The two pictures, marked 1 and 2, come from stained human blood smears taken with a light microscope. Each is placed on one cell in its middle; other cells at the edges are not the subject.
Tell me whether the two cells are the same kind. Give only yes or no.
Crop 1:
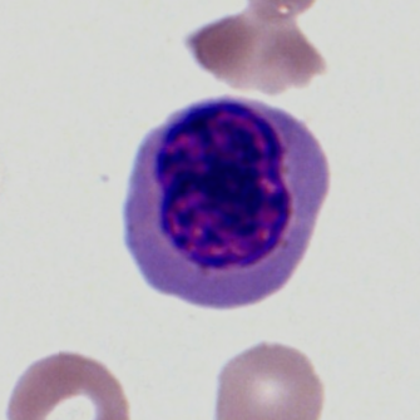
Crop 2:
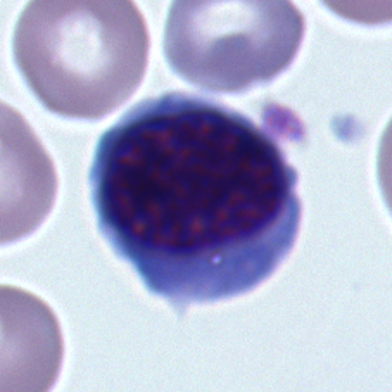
yes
